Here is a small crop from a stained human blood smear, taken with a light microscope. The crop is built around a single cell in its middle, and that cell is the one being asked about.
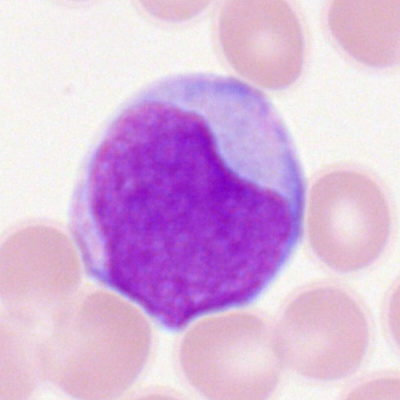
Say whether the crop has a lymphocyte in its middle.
no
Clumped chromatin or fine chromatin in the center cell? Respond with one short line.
The chromatin remains finely textured, with no coarse clumps to speak of.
